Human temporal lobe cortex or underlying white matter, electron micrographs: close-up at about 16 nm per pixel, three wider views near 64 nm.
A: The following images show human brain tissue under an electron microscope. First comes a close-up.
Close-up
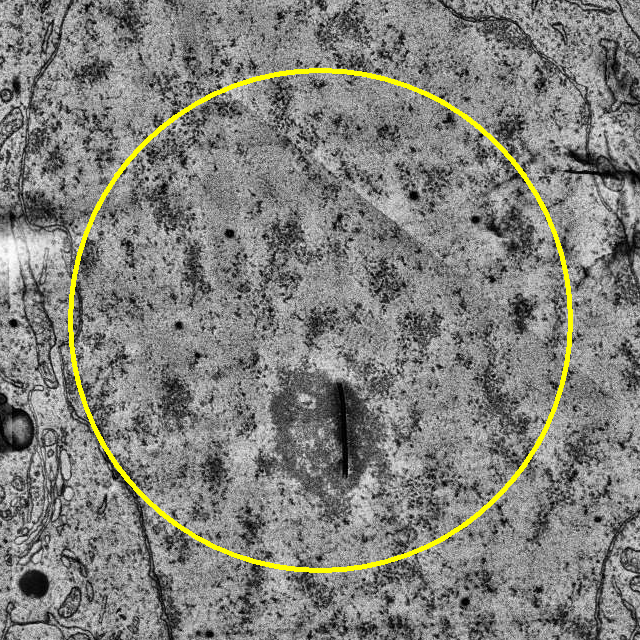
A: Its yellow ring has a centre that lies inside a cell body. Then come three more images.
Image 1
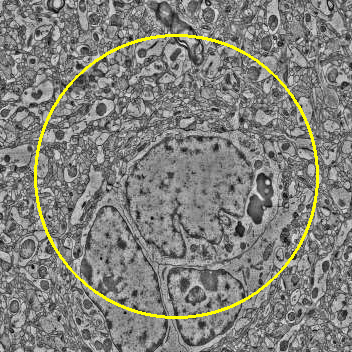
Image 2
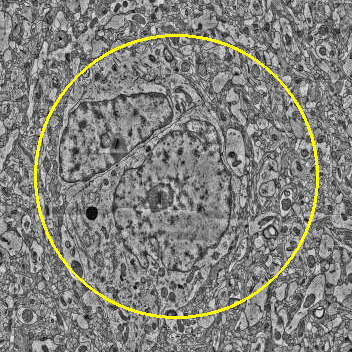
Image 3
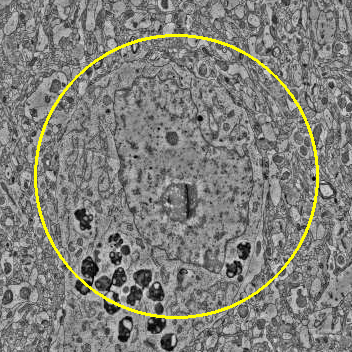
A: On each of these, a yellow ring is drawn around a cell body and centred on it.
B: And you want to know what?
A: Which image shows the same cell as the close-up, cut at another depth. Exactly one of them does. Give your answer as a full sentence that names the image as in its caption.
The enlarged view corresponds to the cell ringed in Image 3.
